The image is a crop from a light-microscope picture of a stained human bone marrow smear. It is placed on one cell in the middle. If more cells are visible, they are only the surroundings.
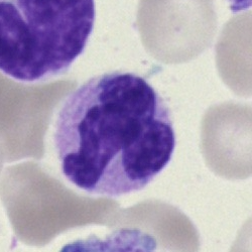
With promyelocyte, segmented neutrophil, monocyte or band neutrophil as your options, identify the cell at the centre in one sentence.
The cell at the middle of the frame should be recorded as a band neutrophil.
